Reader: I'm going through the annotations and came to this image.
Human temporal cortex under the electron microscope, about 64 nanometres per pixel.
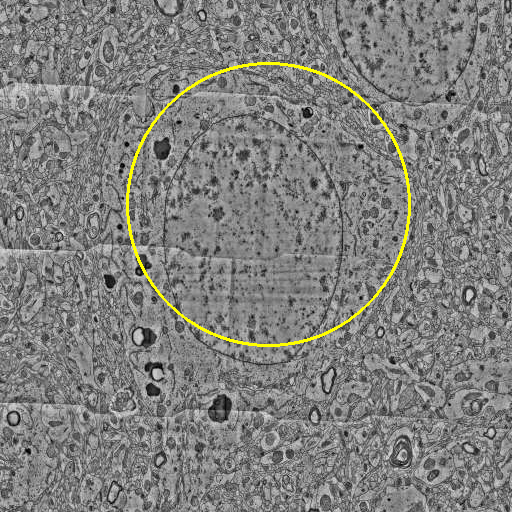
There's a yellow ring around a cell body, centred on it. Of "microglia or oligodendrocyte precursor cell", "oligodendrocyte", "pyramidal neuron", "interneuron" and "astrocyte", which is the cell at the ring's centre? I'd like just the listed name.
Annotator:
pyramidal neuron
